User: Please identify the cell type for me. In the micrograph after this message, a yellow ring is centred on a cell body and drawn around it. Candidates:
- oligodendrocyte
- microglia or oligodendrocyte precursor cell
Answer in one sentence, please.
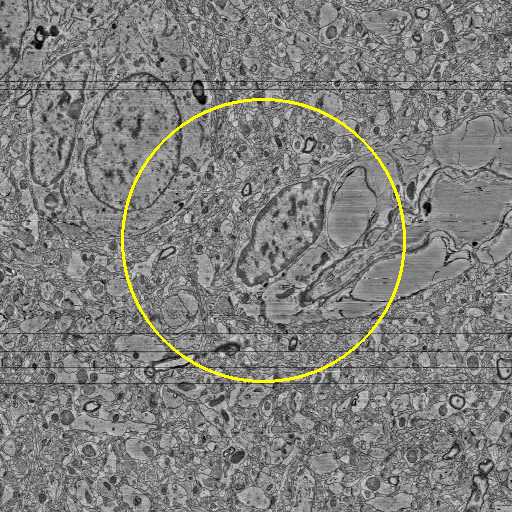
The ring is drawn around the cell body of a microglial cell or oligodendrocyte precursor cell.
